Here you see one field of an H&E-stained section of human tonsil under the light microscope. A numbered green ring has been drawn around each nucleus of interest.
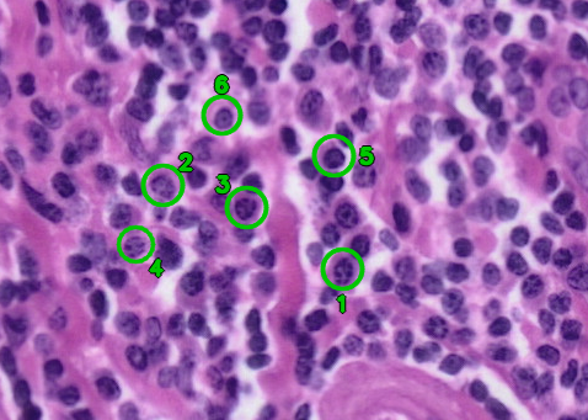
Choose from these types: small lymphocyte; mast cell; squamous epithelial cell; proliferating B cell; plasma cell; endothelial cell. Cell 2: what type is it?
plasma cell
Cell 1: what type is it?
plasma cell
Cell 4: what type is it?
mast cell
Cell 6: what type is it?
mast cell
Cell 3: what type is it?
plasma cell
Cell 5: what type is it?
plasma cell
